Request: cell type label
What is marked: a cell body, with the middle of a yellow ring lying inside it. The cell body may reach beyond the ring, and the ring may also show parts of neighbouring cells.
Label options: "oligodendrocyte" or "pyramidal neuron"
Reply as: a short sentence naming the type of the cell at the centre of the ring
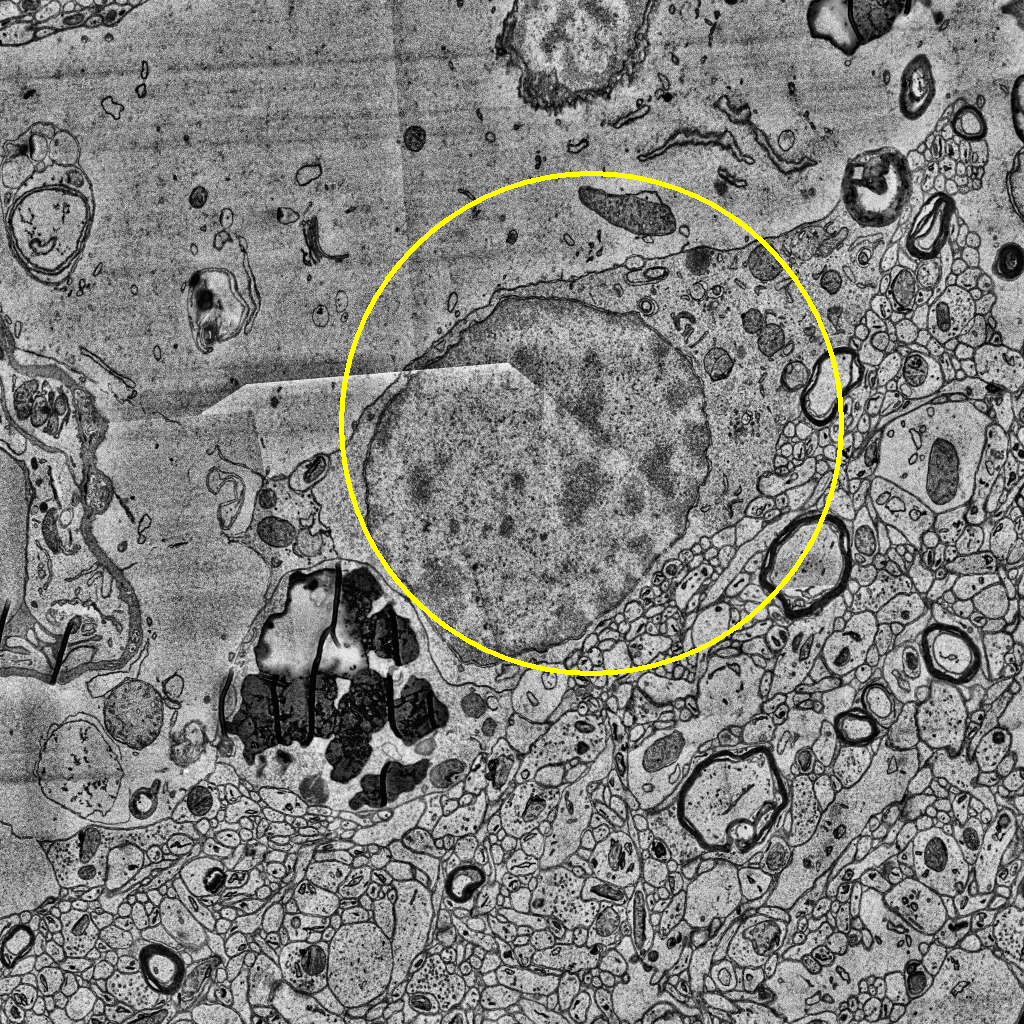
The marked cell body is that of an oligodendrocyte.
